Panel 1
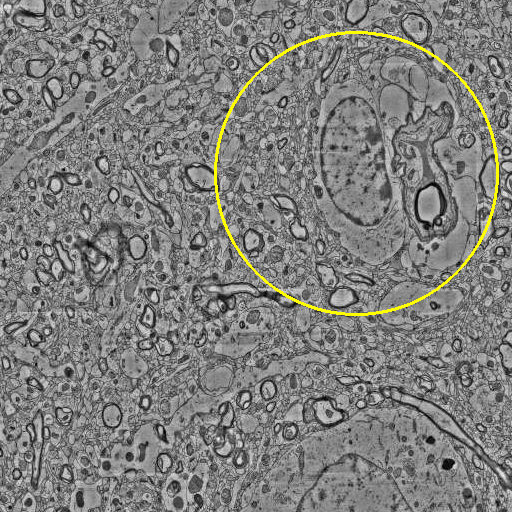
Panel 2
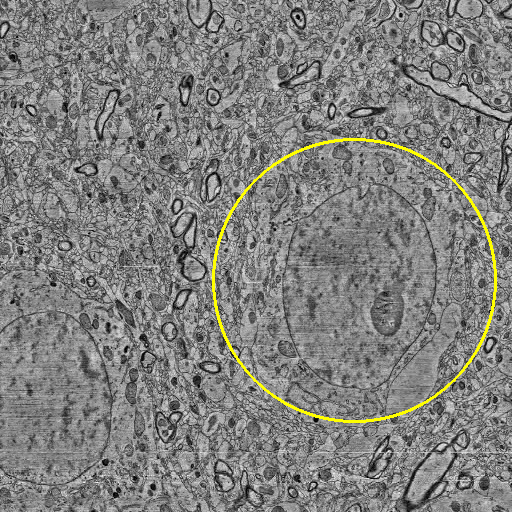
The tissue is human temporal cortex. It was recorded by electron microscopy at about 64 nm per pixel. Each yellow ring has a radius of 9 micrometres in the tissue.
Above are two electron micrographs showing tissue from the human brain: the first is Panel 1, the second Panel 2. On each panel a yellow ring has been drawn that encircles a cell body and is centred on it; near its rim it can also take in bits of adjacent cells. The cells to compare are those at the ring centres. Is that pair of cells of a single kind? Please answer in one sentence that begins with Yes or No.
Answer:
No, the ring-centred cells of Panel 1 and Panel 2 belong to two kinds.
